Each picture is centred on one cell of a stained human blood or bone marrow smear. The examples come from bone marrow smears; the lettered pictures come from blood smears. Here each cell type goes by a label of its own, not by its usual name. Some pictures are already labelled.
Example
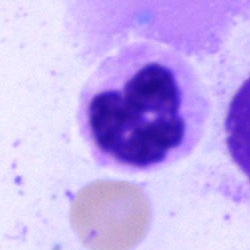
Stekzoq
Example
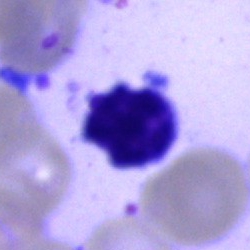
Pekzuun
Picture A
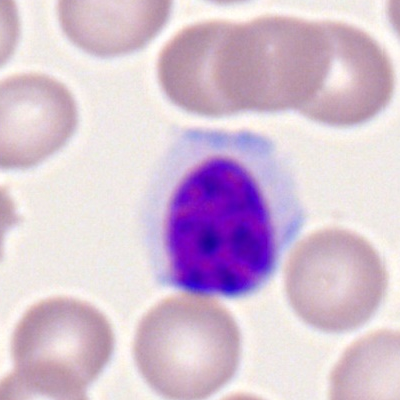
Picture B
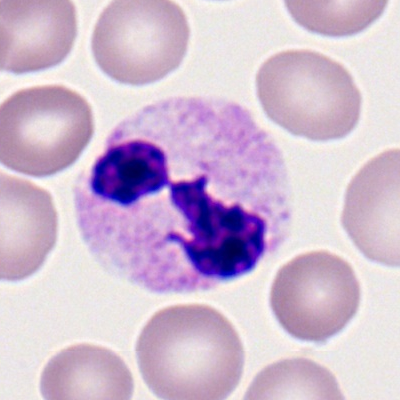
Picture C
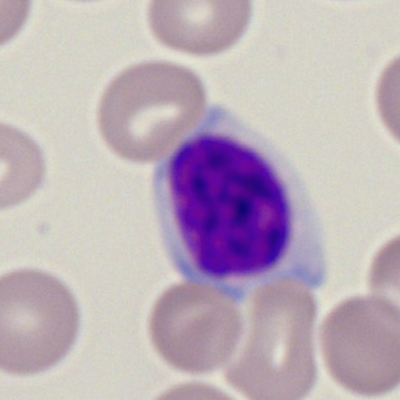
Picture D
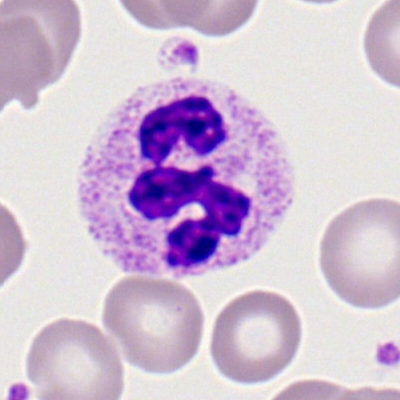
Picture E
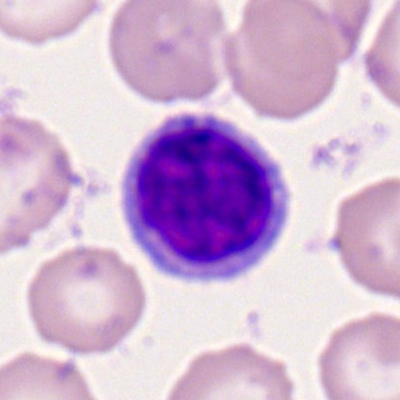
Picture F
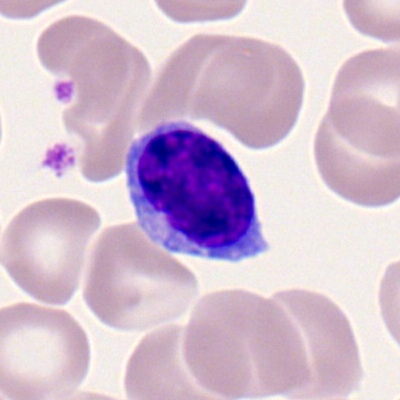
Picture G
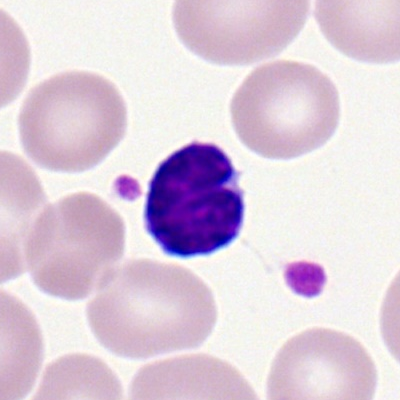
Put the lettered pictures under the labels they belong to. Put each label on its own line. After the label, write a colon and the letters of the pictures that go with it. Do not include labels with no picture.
Stekzoq: B, D
Pekzuun: A, C, E, F, G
